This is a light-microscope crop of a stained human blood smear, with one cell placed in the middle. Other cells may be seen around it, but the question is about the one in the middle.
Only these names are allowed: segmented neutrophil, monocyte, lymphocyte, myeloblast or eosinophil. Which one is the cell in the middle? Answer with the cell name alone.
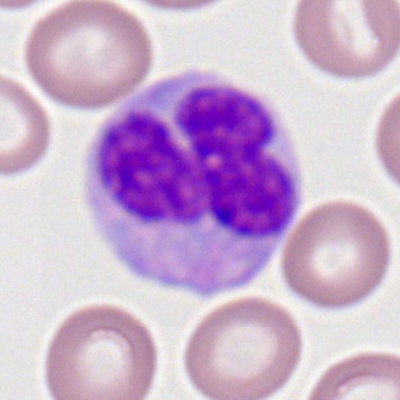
monocyte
